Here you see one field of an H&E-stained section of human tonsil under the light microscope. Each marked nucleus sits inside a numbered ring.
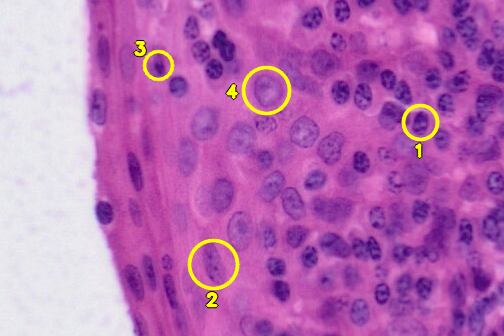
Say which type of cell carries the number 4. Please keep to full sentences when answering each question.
Nucleus 4 in this section belongs to a squamous epithelial cell.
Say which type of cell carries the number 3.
Cell 3, among those numbered, is a squamous epithelial cell.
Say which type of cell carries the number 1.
The marked cell with the number 1 is recognised as a plasma cell.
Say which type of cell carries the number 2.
The cell given label 2 is a squamous epithelial cell.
